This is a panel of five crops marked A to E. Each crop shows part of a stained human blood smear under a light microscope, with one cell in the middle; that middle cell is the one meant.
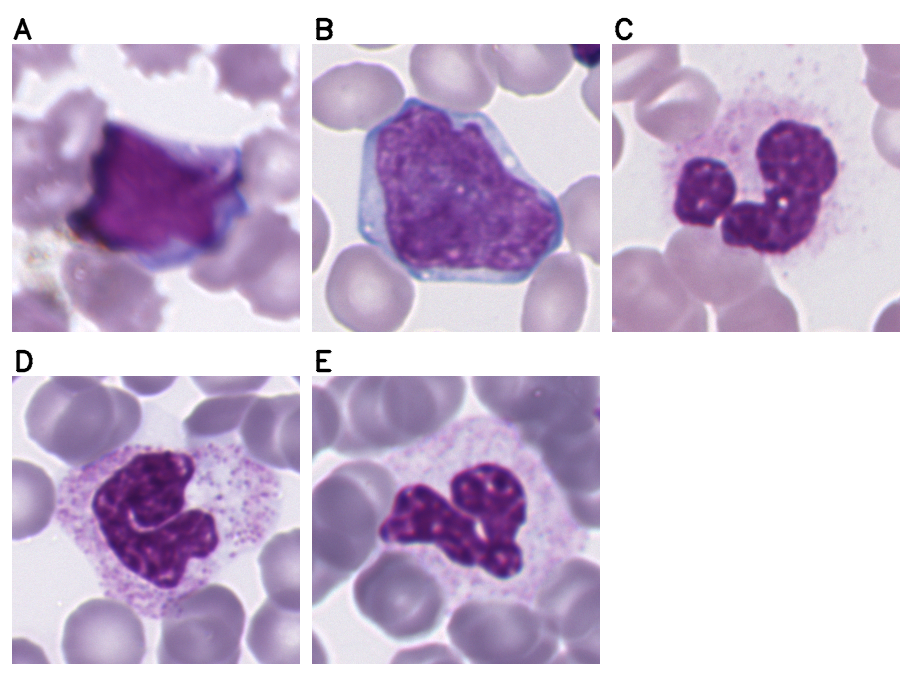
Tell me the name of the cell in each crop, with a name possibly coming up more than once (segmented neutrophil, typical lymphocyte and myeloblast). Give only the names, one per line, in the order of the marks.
myeloblast
myeloblast
segmented neutrophil
segmented neutrophil
segmented neutrophil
